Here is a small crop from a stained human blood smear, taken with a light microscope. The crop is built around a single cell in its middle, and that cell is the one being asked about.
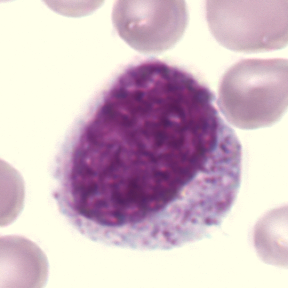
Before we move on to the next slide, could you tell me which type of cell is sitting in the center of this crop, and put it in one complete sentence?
For this crop, the cell in the middle is a myelocyte.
